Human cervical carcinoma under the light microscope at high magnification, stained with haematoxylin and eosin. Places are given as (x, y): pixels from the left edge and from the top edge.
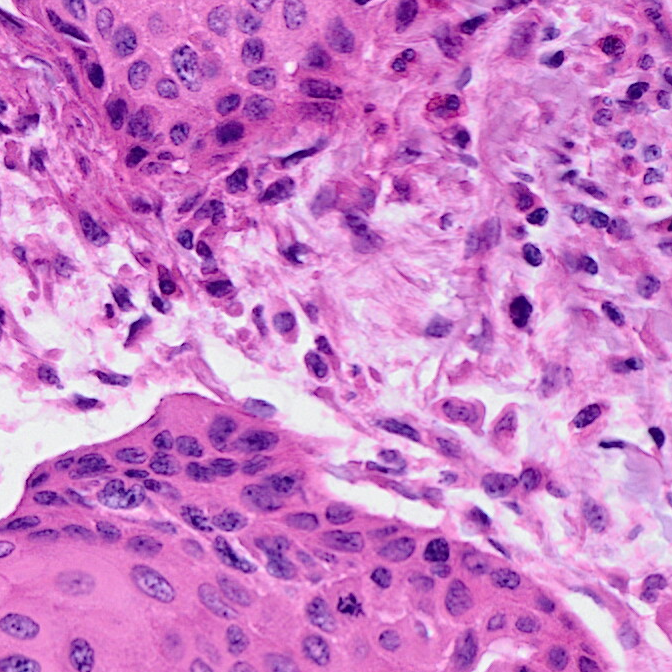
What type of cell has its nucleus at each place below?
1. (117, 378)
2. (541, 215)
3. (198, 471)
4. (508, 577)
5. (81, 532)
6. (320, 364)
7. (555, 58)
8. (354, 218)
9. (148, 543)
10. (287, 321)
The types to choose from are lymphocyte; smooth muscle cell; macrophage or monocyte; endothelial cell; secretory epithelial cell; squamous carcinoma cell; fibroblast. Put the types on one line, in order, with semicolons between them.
fibroblast; lymphocyte; squamous carcinoma cell; squamous carcinoma cell; squamous carcinoma cell; macrophage or monocyte; lymphocyte; fibroblast; squamous carcinoma cell; macrophage or monocyte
